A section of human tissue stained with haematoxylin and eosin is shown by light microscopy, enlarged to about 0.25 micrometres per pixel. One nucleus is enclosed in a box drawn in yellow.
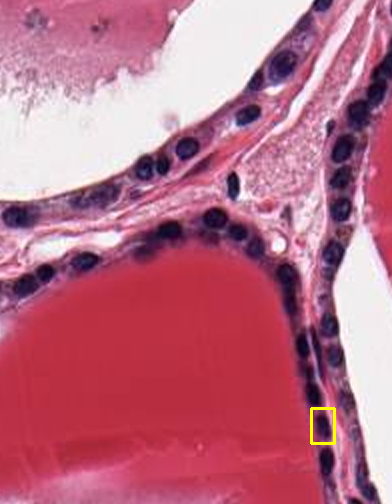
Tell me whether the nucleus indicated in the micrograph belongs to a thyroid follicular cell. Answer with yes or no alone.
yes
